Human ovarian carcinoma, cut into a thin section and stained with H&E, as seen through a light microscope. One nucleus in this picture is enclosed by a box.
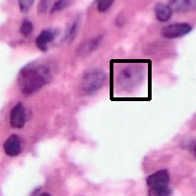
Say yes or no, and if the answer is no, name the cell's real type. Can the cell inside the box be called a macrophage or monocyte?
Yes.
